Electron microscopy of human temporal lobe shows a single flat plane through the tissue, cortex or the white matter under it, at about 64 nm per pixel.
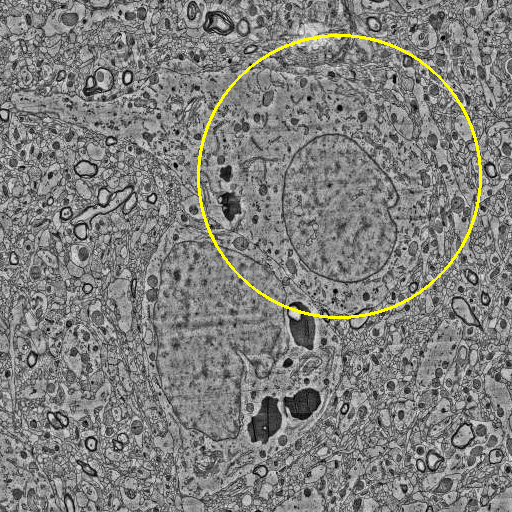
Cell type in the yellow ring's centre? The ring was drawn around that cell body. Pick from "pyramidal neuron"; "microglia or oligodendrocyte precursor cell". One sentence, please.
The ringed cell body is that of a pyramidal neuron.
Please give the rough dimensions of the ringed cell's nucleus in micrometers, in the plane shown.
In this plane the nucleus measures roughly 10 by 8 micrometers.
